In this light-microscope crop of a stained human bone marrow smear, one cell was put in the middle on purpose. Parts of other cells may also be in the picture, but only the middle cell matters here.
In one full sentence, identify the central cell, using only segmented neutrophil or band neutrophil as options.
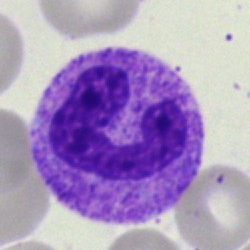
Centred in the crop is a band neutrophil.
